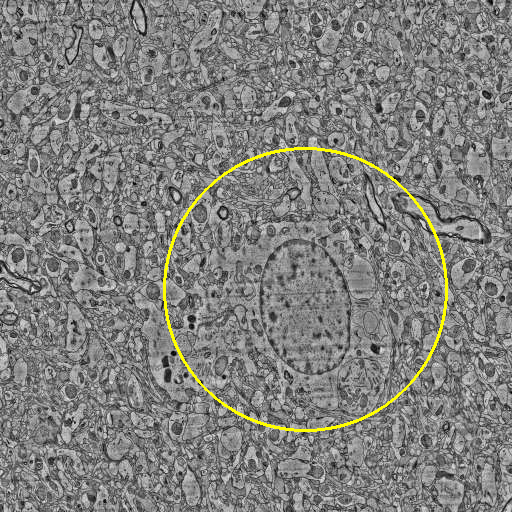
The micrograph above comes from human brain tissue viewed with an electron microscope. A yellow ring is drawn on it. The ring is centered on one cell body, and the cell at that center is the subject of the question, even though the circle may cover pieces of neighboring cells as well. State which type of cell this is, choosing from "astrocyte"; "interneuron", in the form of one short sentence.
The cell the ring is centered on is an astrocyte.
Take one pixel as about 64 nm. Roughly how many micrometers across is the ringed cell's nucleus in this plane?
In this plane the nucleus measures about 9 by 6 micrometres and is clearly longer than it is wide.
